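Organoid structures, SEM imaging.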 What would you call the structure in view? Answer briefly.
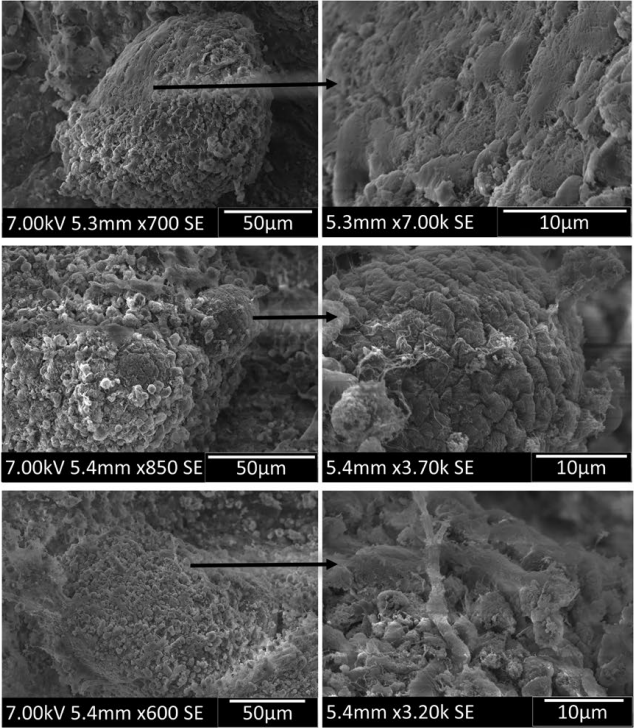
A: Spherical cobble-stone like regions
